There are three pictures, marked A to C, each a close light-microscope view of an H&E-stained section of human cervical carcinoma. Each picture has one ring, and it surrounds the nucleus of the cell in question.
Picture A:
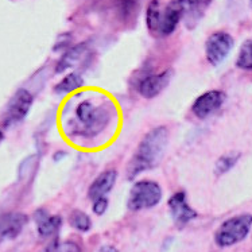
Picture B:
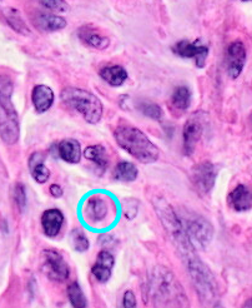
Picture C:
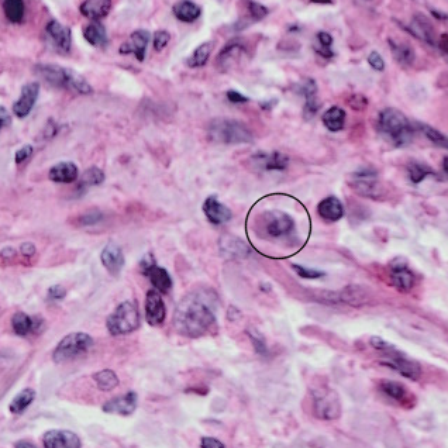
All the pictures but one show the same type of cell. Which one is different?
B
